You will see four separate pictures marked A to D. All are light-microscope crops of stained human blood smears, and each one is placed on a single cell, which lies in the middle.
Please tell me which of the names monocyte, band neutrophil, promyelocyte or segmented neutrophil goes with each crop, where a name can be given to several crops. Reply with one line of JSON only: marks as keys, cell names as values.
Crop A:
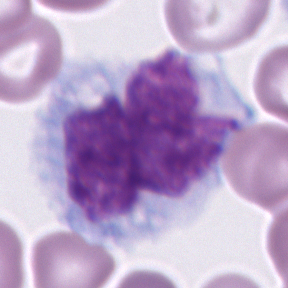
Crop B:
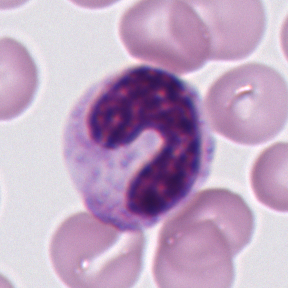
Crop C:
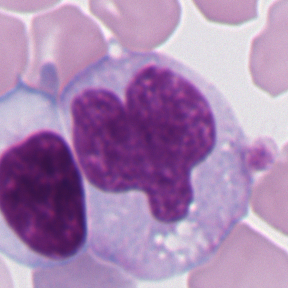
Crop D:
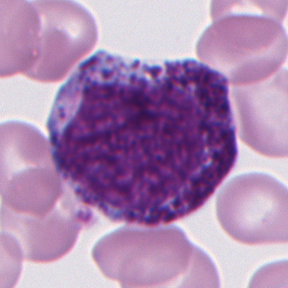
{"A": "monocyte", "B": "band neutrophil", "C": "monocyte", "D": "promyelocyte"}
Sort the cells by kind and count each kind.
monocyte: 2
band neutrophil: 1
promyelocyte: 1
